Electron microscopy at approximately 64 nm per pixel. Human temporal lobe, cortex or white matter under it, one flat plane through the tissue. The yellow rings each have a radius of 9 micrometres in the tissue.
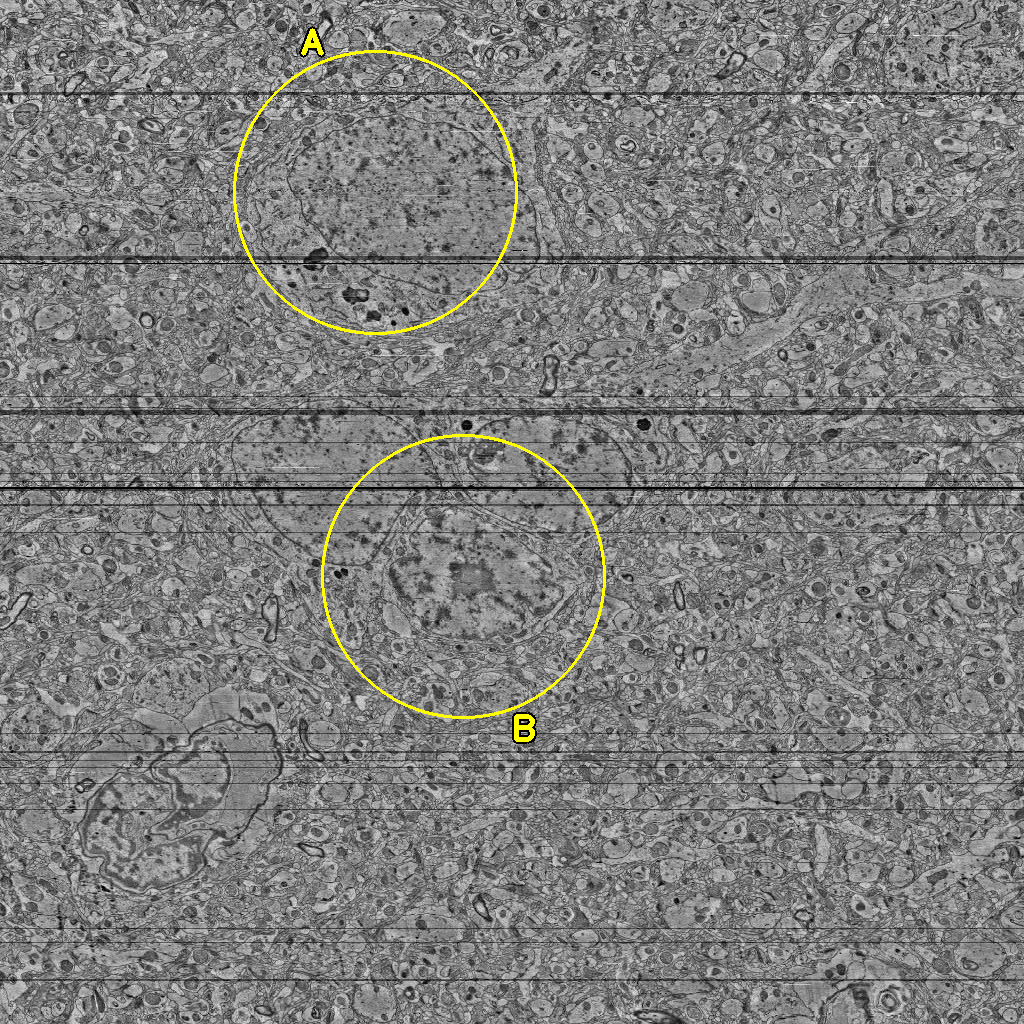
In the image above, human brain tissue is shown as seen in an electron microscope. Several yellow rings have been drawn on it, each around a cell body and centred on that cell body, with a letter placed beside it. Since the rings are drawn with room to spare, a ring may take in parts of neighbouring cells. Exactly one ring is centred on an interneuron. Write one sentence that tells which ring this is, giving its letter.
The ring marked B is centred on it.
